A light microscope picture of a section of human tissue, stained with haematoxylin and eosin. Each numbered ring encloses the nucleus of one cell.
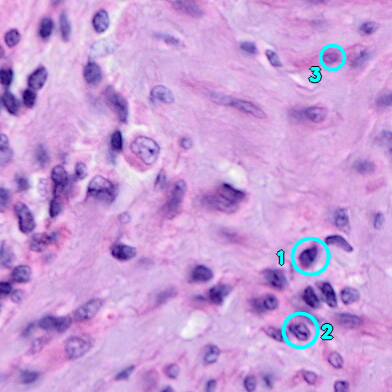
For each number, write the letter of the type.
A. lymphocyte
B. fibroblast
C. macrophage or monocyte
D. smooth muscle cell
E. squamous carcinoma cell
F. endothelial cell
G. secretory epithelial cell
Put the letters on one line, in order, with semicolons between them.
A; A; D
